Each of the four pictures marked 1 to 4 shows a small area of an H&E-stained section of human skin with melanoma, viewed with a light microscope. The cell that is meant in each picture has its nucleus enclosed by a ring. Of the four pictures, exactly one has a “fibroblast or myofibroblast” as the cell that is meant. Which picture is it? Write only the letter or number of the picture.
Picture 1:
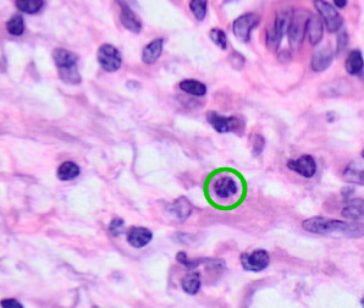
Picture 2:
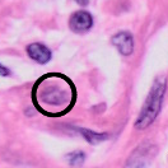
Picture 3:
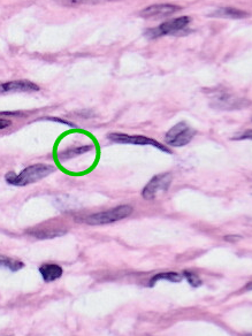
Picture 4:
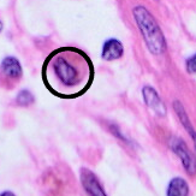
3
